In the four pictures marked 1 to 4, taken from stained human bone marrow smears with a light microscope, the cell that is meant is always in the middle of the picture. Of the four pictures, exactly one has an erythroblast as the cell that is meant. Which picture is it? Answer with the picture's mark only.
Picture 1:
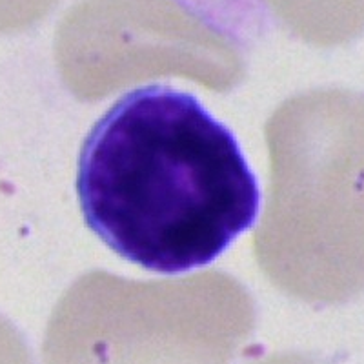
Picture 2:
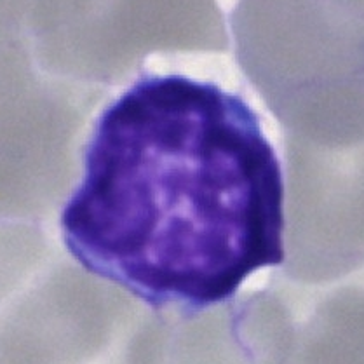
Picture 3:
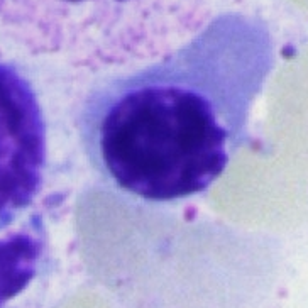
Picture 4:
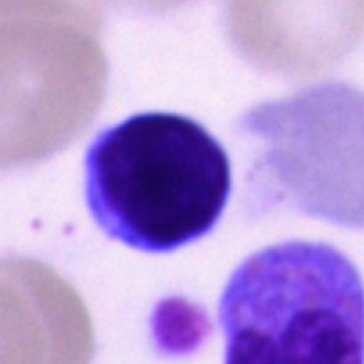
3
